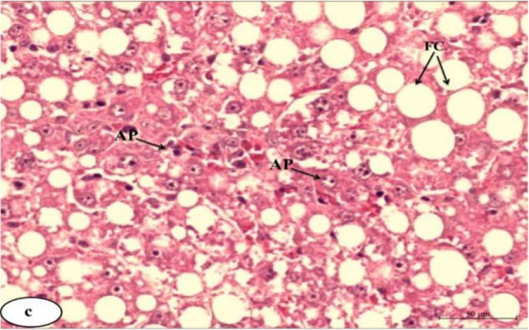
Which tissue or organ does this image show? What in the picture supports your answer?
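Liver. Sheets of polygonal cells with round central nuclei and pink cytoplasm. Many round clear vacuoles of varying size fill the cells.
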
